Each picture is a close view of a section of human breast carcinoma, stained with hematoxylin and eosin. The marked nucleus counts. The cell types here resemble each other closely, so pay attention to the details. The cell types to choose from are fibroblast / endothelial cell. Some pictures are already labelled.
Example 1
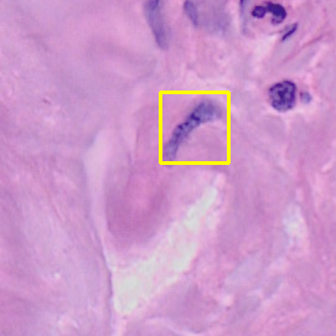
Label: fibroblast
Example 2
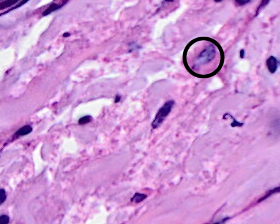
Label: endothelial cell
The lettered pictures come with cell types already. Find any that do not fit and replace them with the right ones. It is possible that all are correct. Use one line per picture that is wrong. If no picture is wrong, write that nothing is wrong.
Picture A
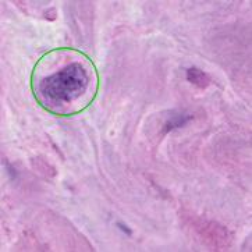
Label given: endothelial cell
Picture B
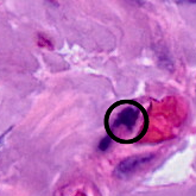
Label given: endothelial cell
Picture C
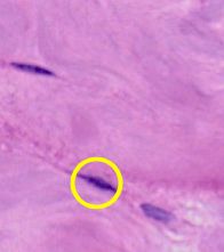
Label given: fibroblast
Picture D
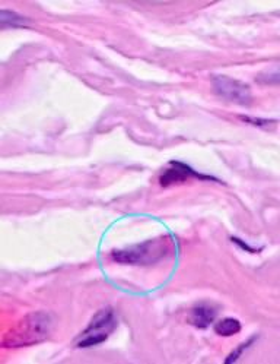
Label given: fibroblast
A: fibroblast, not endothelial cell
